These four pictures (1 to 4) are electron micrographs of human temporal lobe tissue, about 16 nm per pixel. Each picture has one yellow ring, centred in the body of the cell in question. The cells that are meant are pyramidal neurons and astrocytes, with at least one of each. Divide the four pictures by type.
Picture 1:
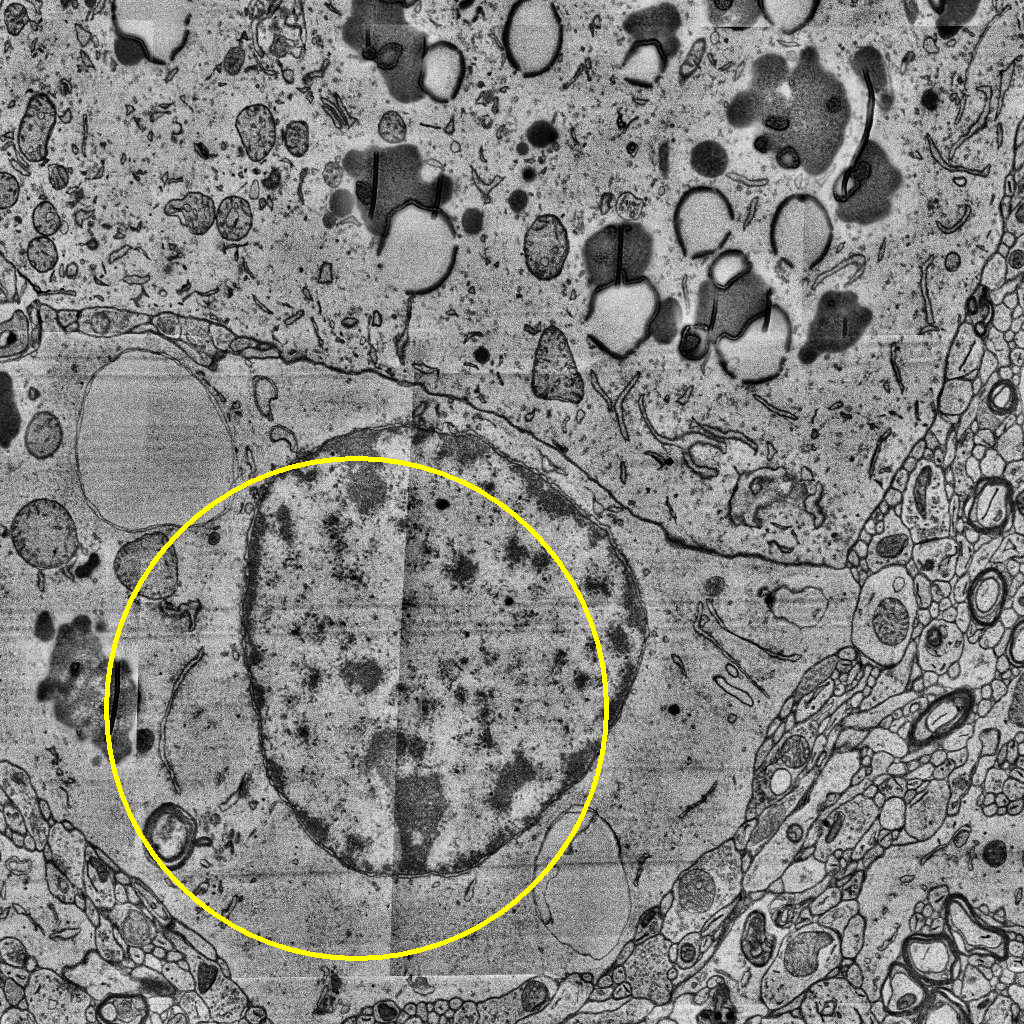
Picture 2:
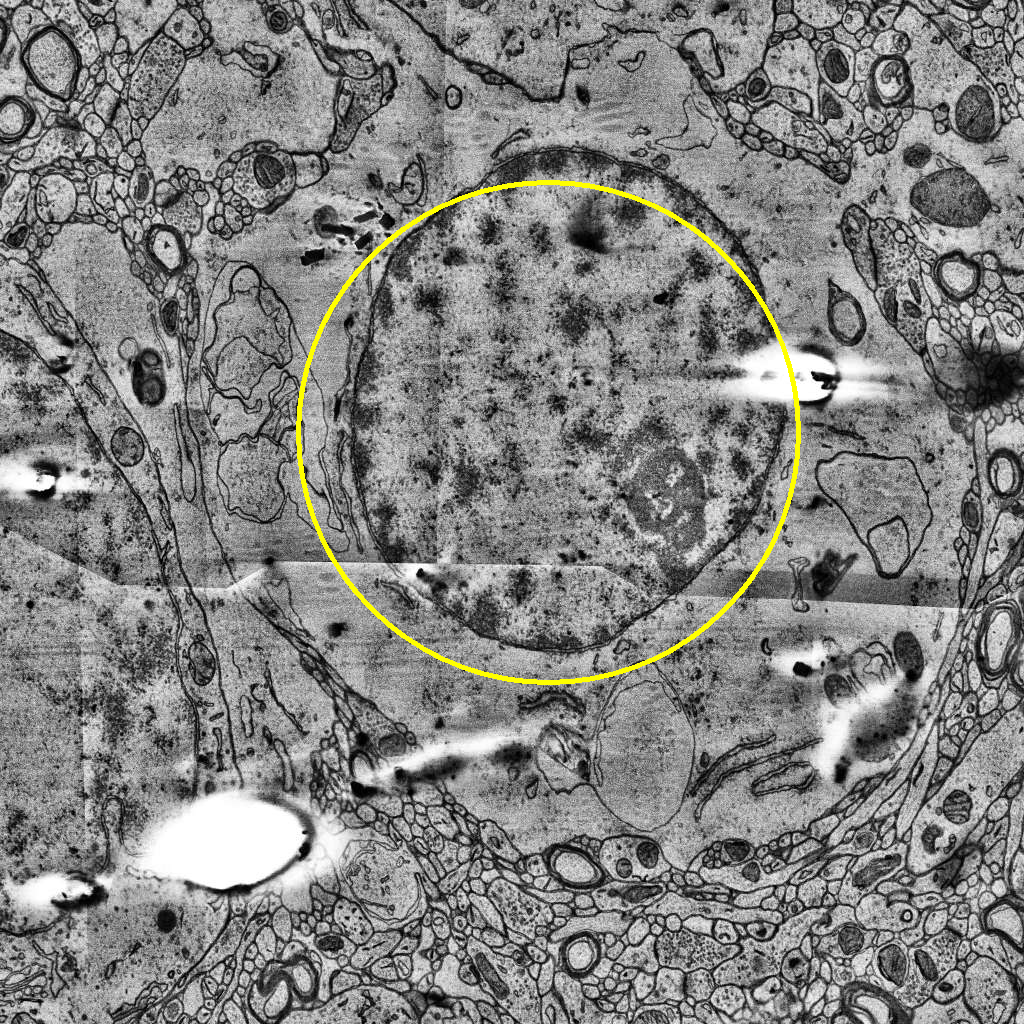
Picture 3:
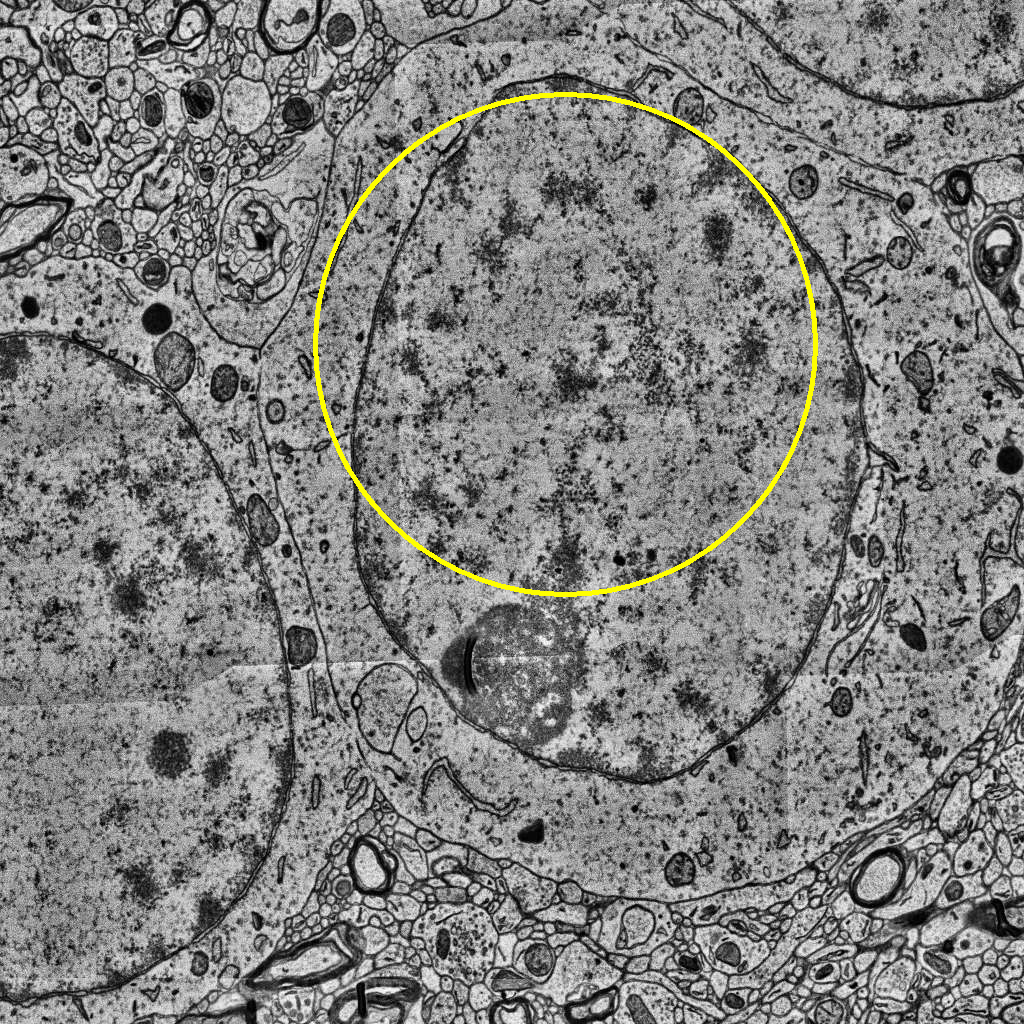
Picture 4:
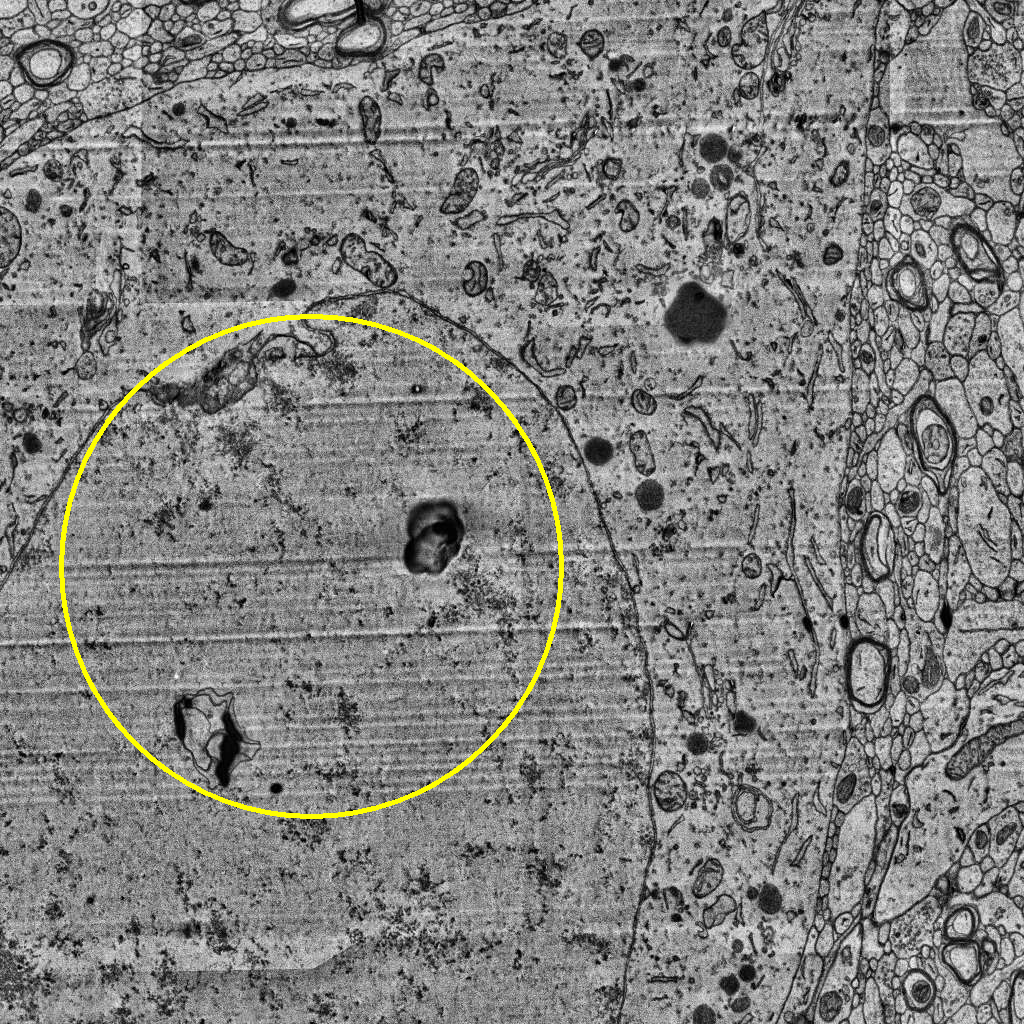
Pictures 3 and 4 show pyramidal neurons; pictures 1 and 2 show astrocytes.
